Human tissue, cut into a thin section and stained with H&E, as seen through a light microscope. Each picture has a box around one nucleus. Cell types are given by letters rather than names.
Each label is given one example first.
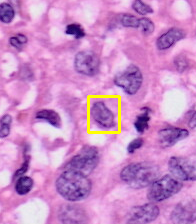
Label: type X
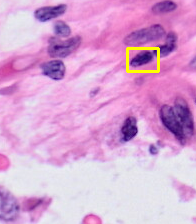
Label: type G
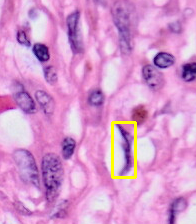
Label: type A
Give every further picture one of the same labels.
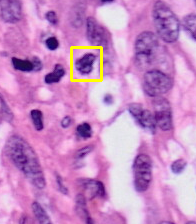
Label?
type G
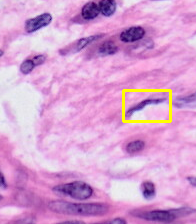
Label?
type A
